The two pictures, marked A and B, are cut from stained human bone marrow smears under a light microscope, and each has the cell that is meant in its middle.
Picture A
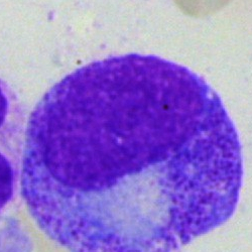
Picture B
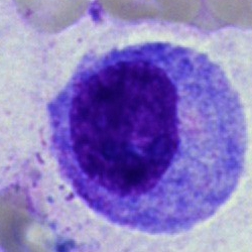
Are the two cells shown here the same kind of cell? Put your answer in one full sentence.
Yes, they are the same type: both are promyelocytes.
